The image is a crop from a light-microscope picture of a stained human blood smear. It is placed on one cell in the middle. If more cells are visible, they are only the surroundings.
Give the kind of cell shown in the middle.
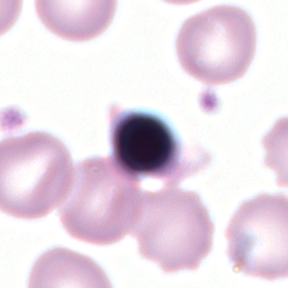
normoblast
